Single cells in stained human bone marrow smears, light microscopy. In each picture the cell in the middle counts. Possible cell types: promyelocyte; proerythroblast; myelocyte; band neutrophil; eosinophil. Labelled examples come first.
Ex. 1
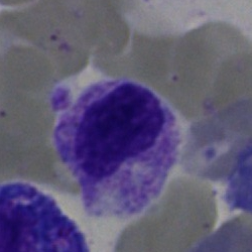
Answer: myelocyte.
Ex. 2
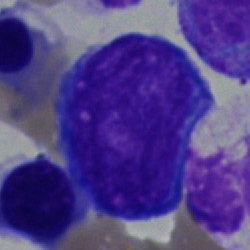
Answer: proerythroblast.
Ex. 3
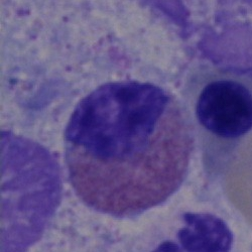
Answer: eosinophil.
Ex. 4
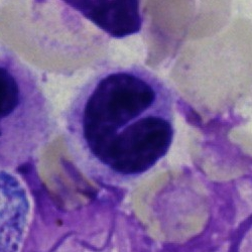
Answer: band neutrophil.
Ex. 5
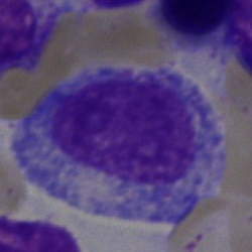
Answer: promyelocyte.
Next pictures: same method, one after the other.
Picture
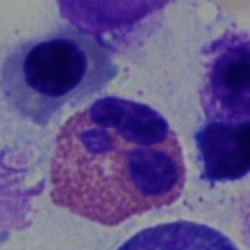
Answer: eosinophil.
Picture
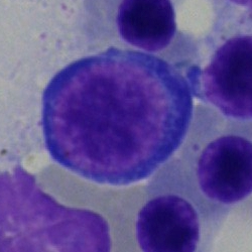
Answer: proerythroblast.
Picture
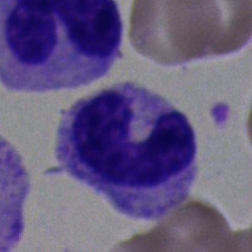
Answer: band neutrophil.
